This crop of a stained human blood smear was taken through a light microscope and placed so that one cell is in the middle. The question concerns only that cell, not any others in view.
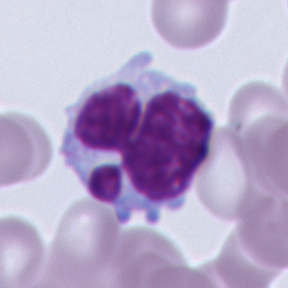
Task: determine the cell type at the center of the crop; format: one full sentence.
Looking at the middle of the crop, the cell there is a large granular lymphocyte.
